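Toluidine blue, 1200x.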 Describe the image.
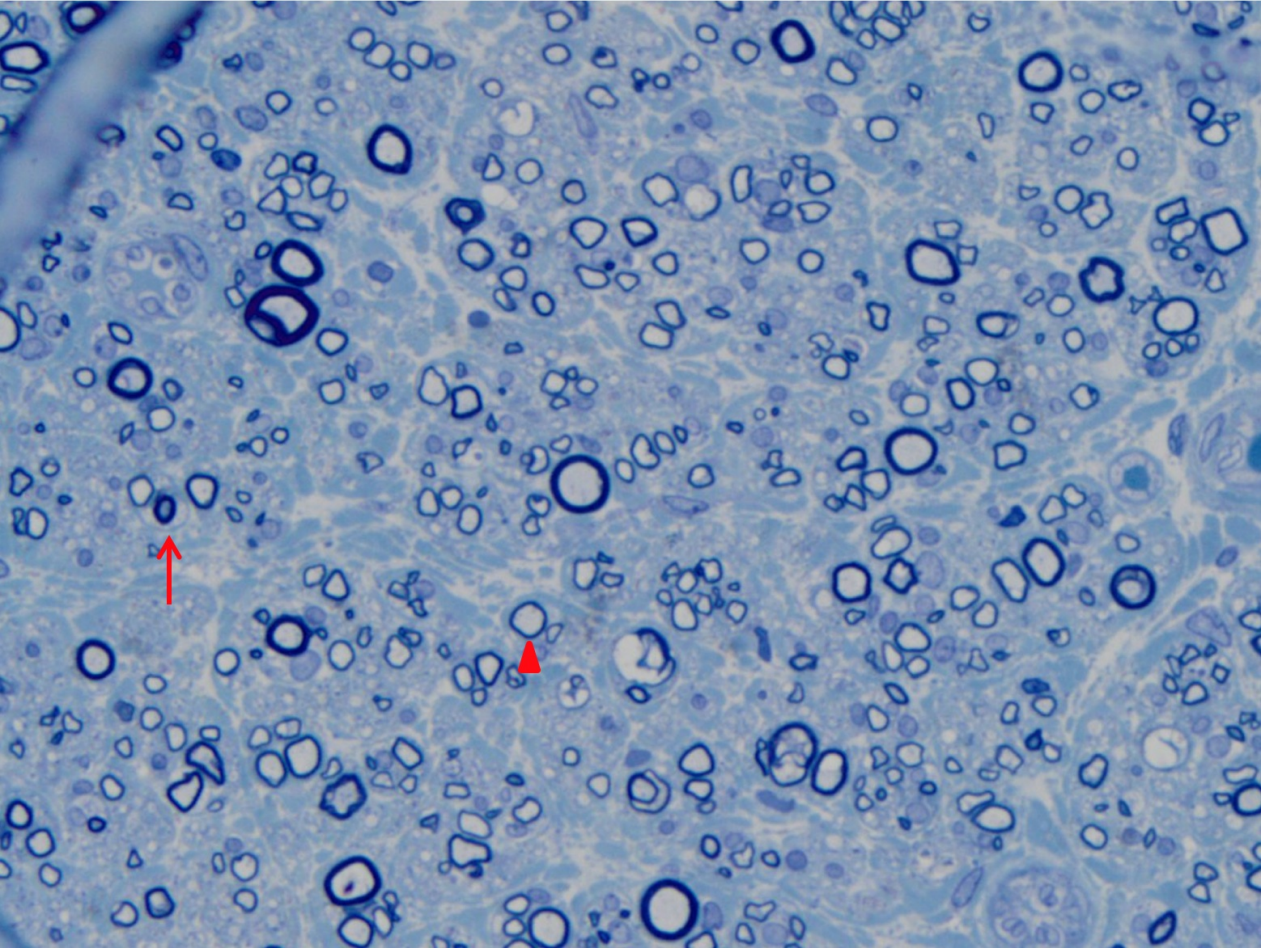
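Cross-section of many myelinated axons seen as pale round or angular axon profiles, each enclosed by a dark blue ring of myelin, scattered in a pale blue matrix. Fibres vary widely in calibre, from small profiles to a few large ones with thick rings. Many myelin rings are thin relative to the axon diameter, and several profiles are irregular or crenated. The fibres lie in loose clusters separated by paler strands, and small unringed pale-blue round profiles lie between them. A few clear, vacuole-like spaces appear among the fibres, and a dark curved band crosses the upper left corner.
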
